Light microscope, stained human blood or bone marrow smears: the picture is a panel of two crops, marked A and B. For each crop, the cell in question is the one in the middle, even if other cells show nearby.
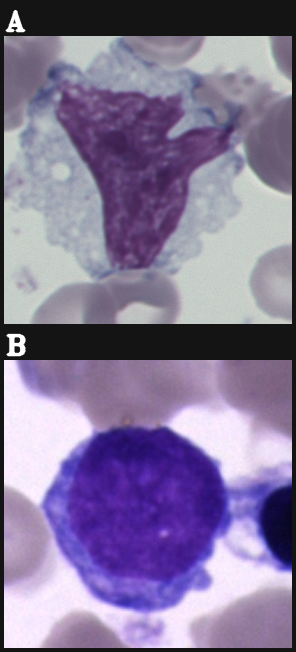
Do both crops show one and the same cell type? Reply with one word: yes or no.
no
